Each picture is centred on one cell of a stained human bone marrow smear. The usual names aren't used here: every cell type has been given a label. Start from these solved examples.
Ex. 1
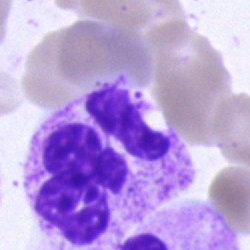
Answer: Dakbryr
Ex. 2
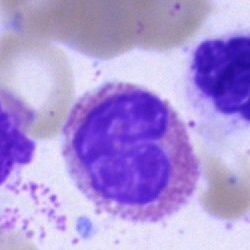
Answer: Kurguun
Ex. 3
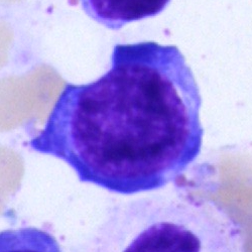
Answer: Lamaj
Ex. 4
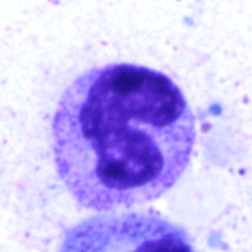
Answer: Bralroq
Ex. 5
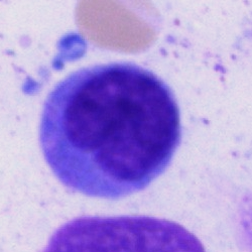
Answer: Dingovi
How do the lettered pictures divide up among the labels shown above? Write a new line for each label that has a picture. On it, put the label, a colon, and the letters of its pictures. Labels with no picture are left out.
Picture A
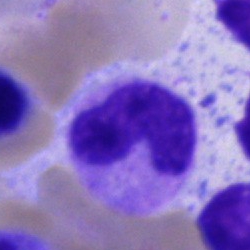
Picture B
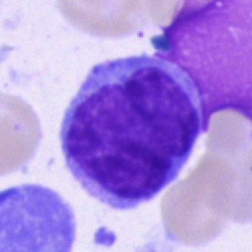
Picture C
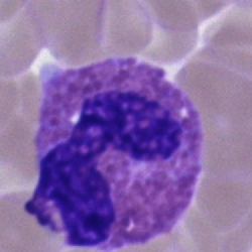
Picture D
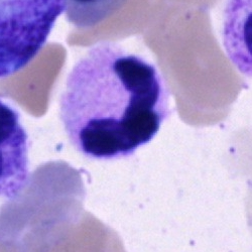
Dakbryr: D
Kurguun: C
Bralroq: A
Dingovi: B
